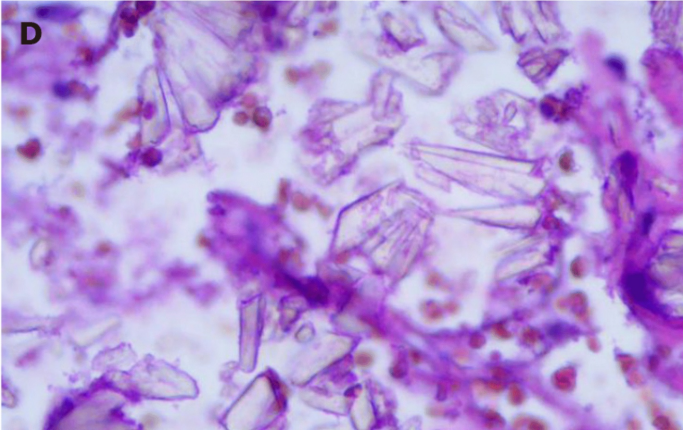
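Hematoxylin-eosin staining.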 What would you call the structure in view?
Crystals of different shapes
